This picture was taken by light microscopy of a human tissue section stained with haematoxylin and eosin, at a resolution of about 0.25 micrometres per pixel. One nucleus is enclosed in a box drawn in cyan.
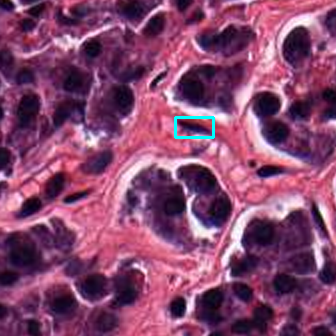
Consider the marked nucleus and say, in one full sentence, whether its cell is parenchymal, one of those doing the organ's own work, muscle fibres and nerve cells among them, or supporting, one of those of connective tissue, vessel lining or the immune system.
The marked nucleus is contained in a supporting cell.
